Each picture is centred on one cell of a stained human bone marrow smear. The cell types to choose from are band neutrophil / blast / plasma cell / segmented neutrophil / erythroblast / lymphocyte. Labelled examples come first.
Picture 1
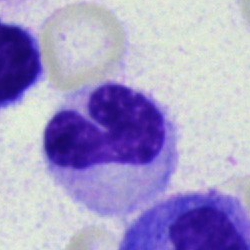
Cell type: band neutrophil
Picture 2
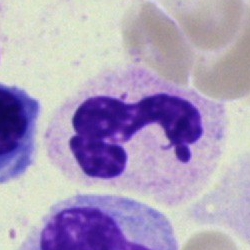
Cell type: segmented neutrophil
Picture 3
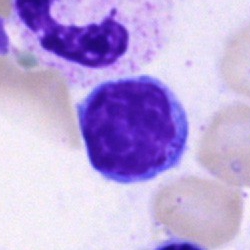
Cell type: lymphocyte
